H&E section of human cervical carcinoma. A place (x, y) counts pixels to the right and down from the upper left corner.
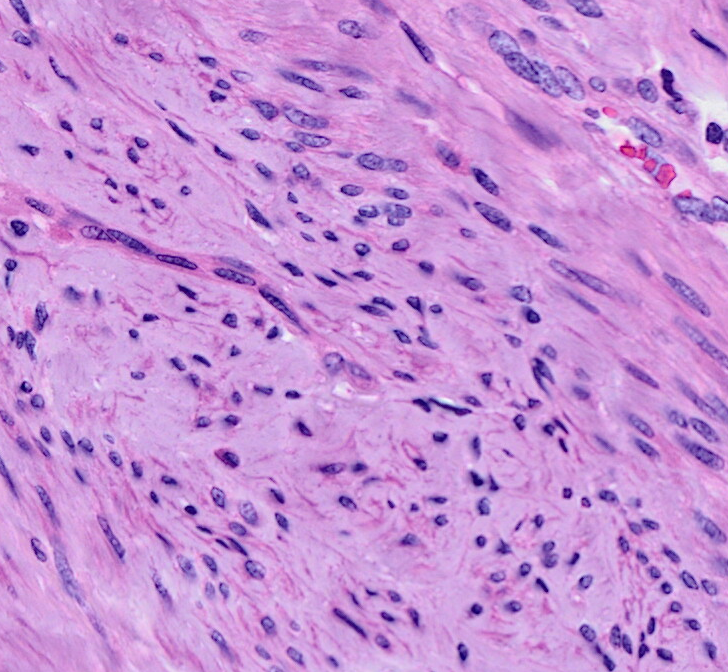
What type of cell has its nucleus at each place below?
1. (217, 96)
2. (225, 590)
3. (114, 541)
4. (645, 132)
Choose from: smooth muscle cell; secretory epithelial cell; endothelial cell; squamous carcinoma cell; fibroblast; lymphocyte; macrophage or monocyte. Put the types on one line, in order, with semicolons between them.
smooth muscle cell; smooth muscle cell; smooth muscle cell; endothelial cell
